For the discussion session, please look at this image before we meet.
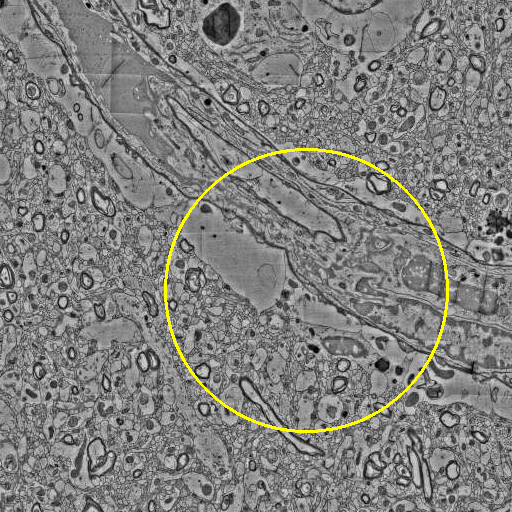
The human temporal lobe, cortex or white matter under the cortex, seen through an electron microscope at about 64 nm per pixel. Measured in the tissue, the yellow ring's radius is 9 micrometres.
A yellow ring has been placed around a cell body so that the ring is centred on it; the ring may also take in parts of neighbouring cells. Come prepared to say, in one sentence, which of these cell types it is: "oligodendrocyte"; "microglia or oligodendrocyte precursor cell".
The cell centred in the ring is a microglial cell or oligodendrocyte precursor cell.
